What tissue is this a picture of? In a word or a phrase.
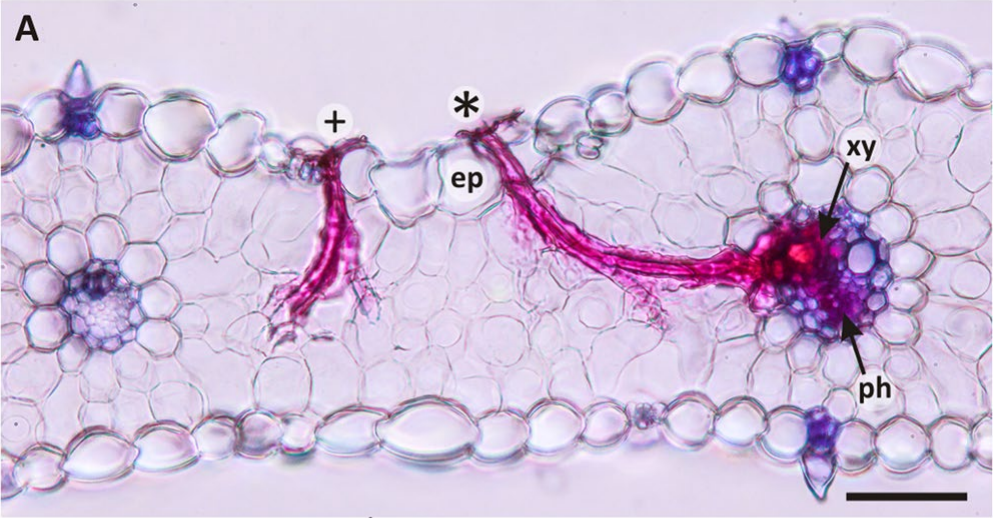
Leaf.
